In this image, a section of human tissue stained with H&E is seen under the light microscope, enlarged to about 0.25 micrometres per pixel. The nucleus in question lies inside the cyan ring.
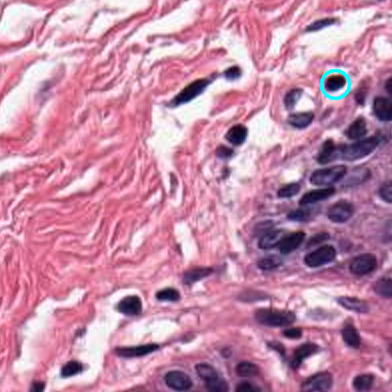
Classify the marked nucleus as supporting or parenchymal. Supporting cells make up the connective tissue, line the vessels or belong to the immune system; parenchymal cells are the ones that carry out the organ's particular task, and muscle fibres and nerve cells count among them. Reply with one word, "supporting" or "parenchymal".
supporting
